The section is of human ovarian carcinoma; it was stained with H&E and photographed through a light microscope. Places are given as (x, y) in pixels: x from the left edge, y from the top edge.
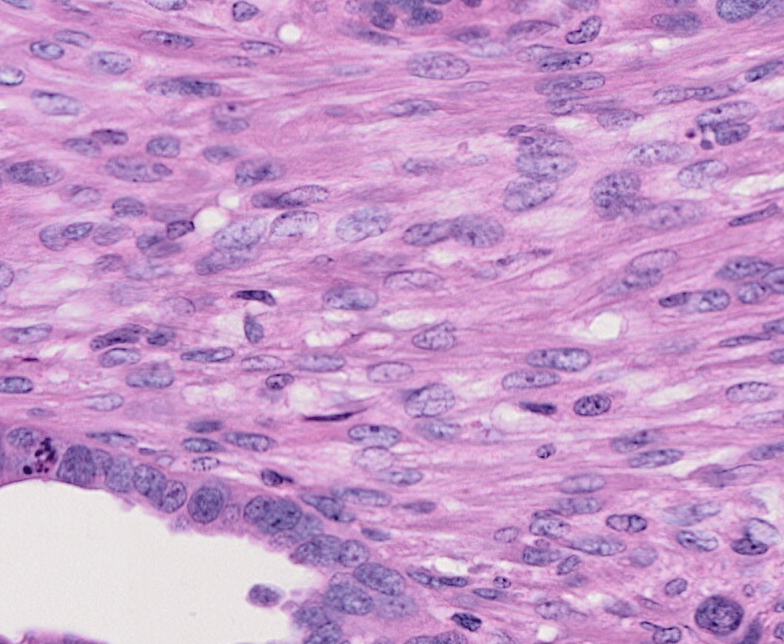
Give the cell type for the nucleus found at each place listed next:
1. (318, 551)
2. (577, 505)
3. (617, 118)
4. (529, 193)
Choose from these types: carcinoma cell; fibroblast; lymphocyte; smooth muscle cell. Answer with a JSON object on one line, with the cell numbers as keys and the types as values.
{"1": "carcinoma cell", "2": "fibroblast", "3": "fibroblast", "4": "fibroblast"}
